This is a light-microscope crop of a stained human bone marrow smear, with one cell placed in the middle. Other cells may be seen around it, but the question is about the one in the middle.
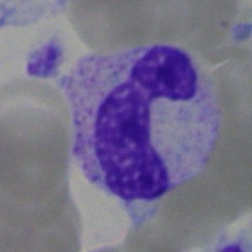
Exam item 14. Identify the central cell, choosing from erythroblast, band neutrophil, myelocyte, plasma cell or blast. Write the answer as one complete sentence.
The cell the crop is centered on is a band neutrophil.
